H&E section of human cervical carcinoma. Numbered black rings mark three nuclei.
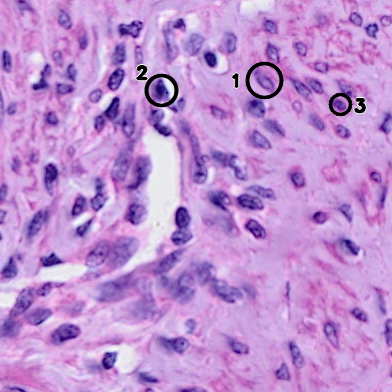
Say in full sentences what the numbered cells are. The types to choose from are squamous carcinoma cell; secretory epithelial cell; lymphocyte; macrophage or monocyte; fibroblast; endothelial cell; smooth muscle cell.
Cells 1 and 3 are smooth muscle cells. Cell 2 is a lymphocyte.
